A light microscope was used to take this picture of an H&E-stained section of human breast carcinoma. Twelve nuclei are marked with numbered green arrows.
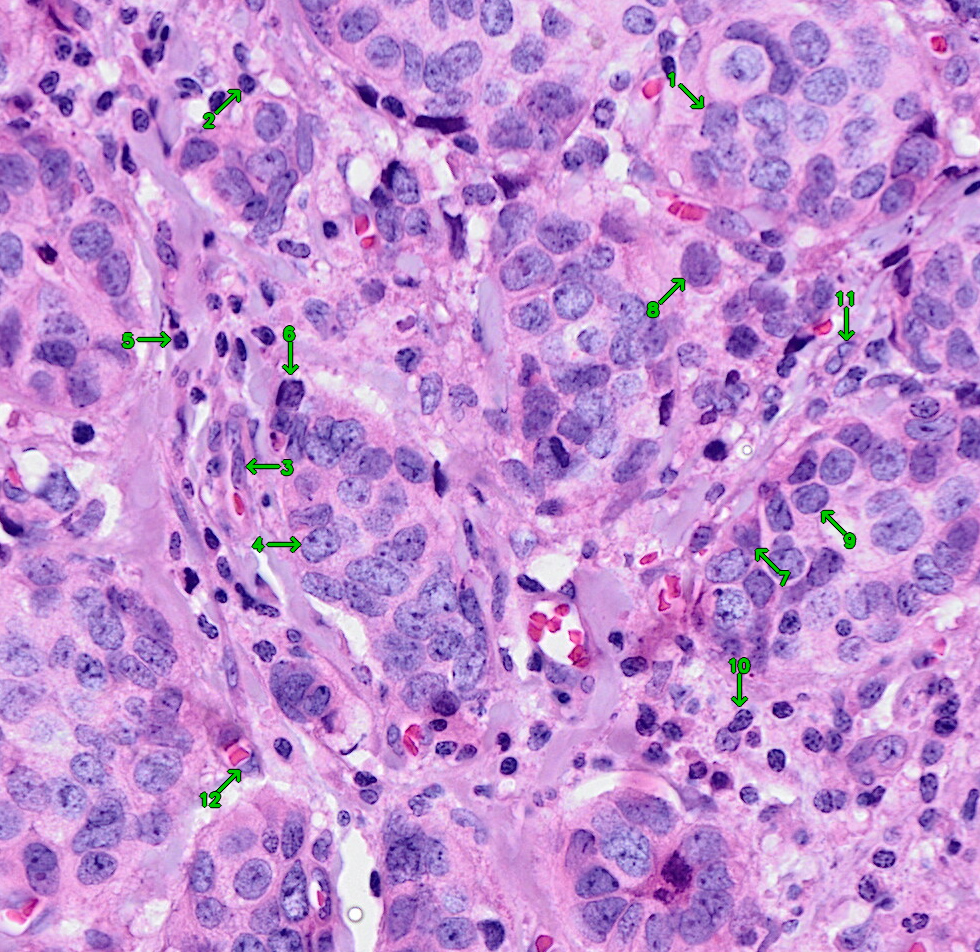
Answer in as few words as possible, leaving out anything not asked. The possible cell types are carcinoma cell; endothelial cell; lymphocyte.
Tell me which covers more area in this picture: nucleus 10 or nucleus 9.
9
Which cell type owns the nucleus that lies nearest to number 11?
endothelial cell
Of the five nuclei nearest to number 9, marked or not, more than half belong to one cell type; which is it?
carcinoma cell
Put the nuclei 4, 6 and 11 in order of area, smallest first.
11, 6, 4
